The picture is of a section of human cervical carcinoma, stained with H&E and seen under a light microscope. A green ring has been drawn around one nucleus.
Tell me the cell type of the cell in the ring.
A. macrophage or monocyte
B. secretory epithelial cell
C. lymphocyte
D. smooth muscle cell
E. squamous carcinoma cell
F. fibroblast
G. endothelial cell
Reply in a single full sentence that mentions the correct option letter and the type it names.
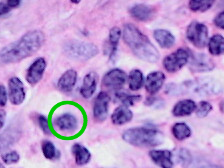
Option C is the one to take: the cell in the ring is a lymphocyte.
